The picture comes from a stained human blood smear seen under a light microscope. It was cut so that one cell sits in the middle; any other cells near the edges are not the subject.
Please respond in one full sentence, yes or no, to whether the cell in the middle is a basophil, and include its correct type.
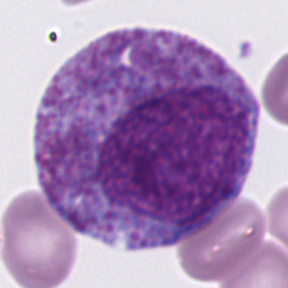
No, what occupies the middle of the crop is a promyelocyte and not a basophil.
